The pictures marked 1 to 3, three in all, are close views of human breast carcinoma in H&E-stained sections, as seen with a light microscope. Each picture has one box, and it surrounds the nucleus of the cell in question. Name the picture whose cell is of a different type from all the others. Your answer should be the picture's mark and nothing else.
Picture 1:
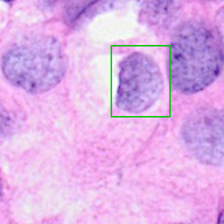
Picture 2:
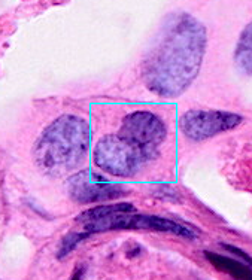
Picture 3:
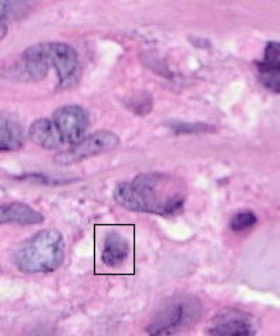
3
